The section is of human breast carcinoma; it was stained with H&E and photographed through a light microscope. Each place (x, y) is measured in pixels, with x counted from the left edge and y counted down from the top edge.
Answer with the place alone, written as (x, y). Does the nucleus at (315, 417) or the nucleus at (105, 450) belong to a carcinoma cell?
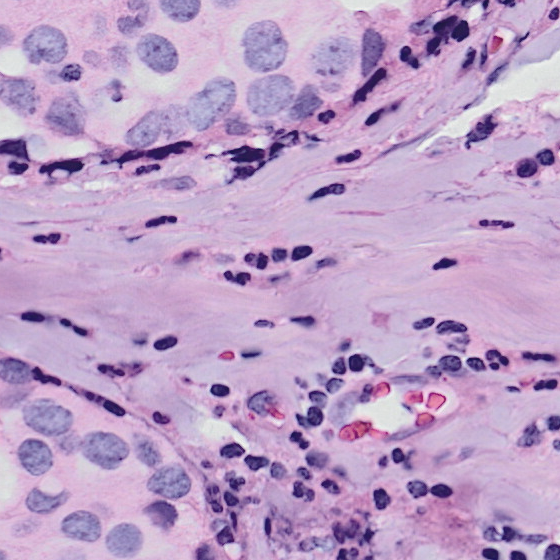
(105, 450)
